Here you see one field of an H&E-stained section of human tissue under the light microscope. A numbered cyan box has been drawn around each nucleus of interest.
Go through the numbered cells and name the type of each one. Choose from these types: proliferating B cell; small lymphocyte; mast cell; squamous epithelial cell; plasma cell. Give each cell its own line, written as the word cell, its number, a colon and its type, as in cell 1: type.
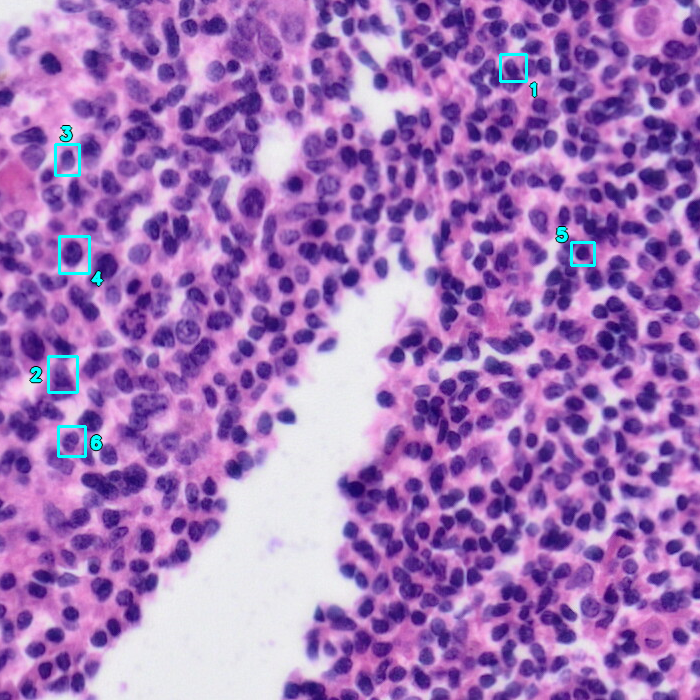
cell 1: small lymphocyte
cell 2: proliferating B cell
cell 3: proliferating B cell
cell 4: proliferating B cell
cell 5: small lymphocyte
cell 6: proliferating B cell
